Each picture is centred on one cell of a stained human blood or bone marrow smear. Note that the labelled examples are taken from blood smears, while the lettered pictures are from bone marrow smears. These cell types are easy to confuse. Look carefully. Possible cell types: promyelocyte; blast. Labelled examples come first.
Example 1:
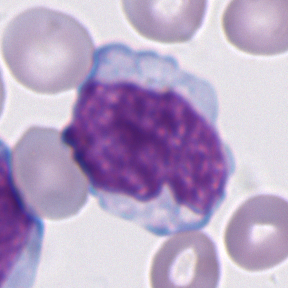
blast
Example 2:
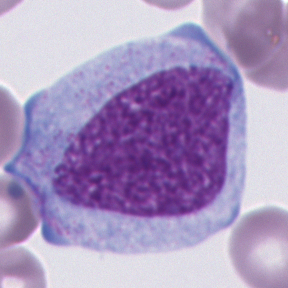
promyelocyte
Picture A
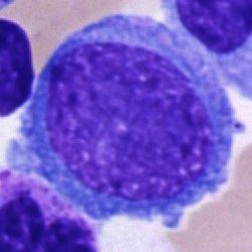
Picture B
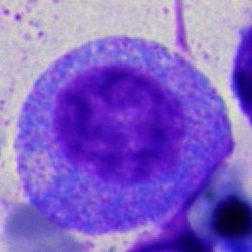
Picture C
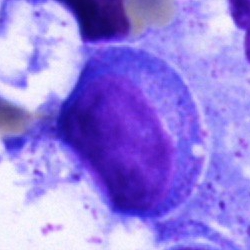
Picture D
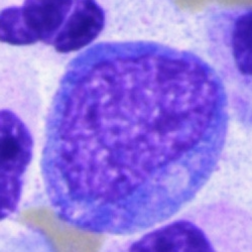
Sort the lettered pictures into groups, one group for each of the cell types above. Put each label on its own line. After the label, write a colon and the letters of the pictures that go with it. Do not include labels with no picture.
promyelocyte: B, D
blast: A, C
